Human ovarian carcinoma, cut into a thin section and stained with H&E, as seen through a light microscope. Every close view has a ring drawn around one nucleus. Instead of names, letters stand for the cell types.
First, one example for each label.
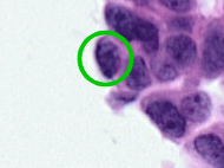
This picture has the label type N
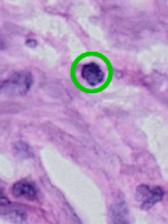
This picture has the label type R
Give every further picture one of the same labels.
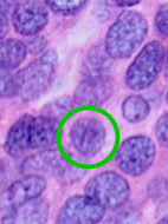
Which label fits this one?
type N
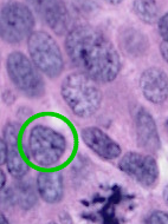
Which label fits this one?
type N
